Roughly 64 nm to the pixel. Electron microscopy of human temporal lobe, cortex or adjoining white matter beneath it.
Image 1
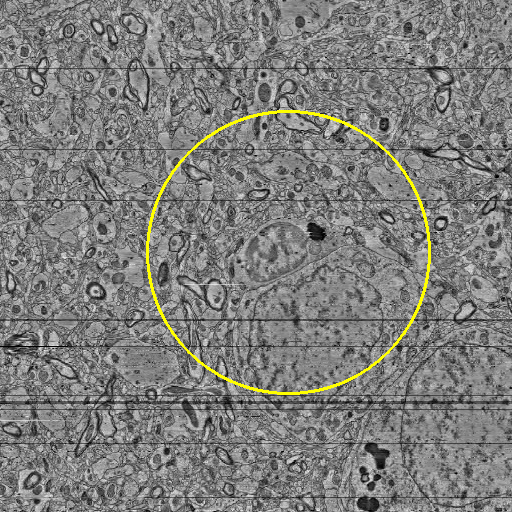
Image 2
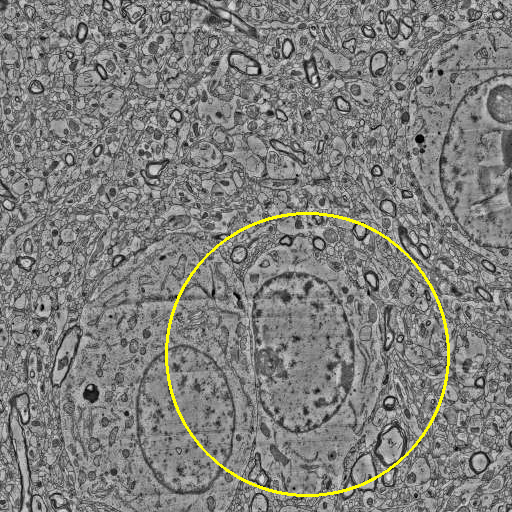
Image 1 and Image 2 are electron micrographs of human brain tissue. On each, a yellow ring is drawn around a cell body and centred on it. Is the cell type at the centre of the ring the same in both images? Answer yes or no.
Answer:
no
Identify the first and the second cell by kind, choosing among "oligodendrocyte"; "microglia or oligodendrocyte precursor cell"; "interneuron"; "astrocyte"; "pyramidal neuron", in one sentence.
The one in the first picture is an oligodendrocyte, while the one in the second is a microglial cell or oligodendrocyte precursor cell.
